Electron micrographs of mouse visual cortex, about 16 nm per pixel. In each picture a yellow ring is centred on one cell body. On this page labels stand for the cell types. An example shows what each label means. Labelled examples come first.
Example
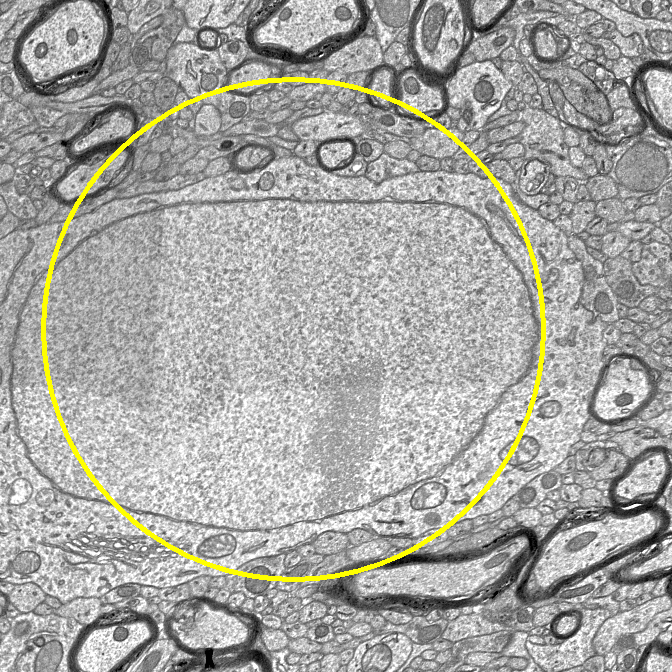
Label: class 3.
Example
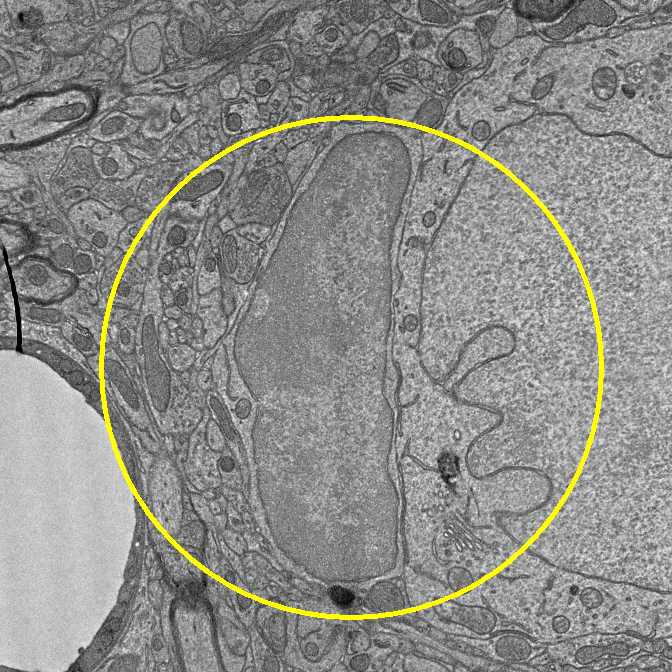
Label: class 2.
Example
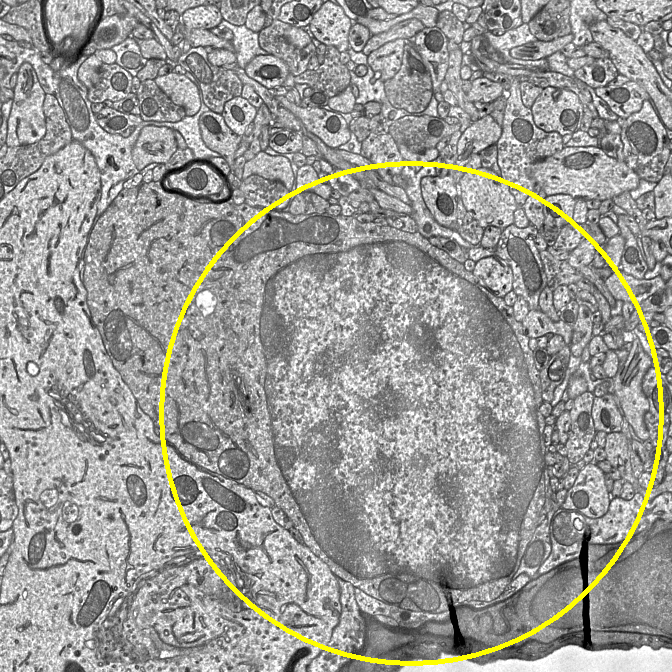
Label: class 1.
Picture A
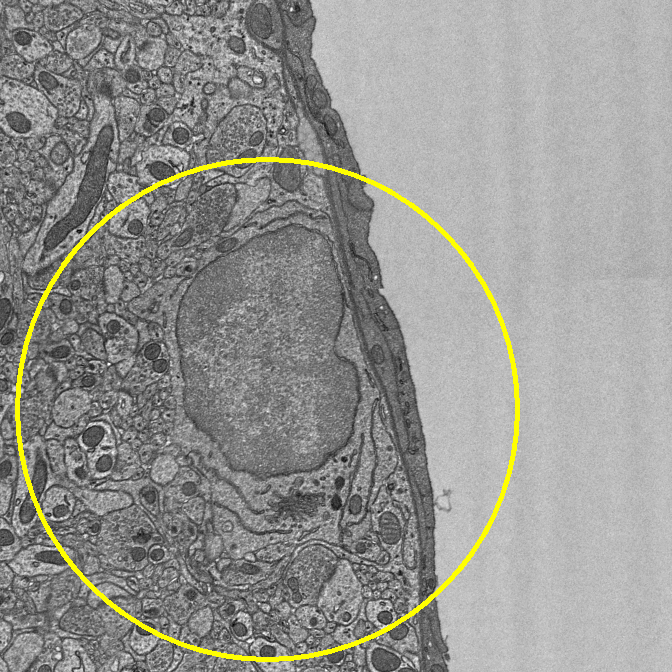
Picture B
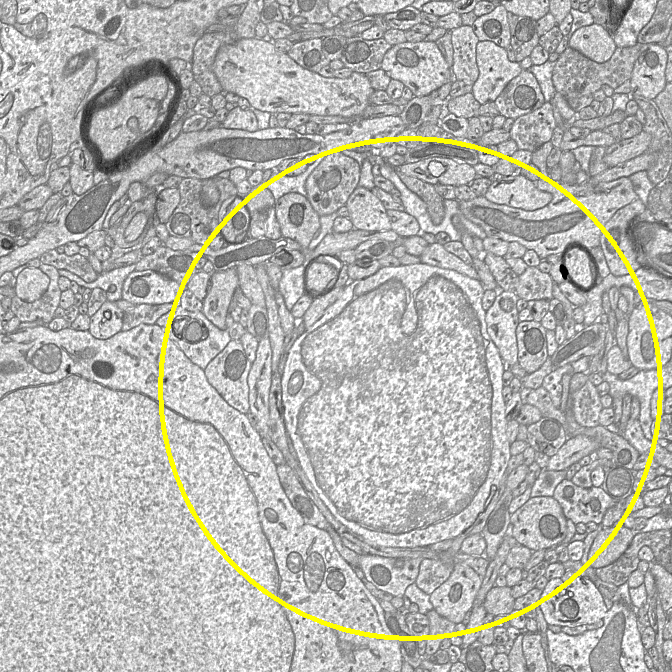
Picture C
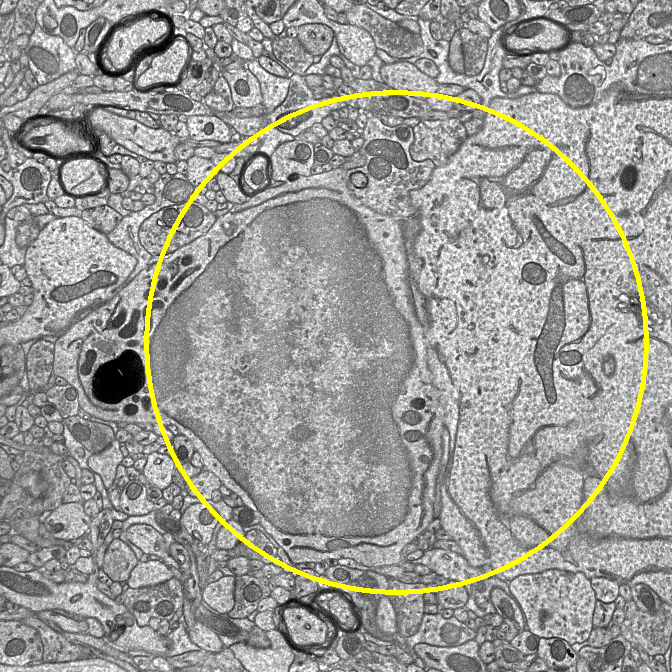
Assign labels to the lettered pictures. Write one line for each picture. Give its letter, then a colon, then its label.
A: class 2.
B: class 1.
C: class 2.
